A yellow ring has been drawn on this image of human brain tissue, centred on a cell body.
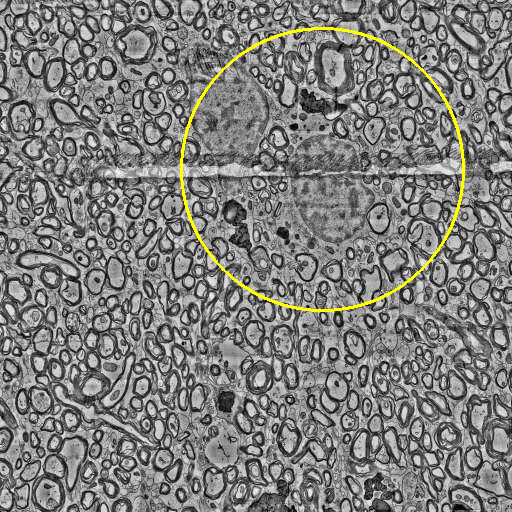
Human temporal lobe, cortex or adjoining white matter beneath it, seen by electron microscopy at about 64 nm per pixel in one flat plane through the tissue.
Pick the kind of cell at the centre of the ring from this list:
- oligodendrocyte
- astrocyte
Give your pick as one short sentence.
The centre of the ring holds an oligodendrocyte.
